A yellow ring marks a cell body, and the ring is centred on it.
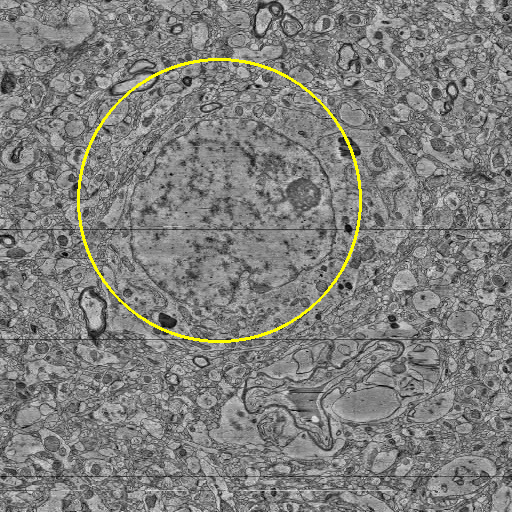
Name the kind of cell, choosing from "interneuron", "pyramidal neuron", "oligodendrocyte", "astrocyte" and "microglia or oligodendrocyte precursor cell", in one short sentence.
The marked cell body belongs to an interneuron.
